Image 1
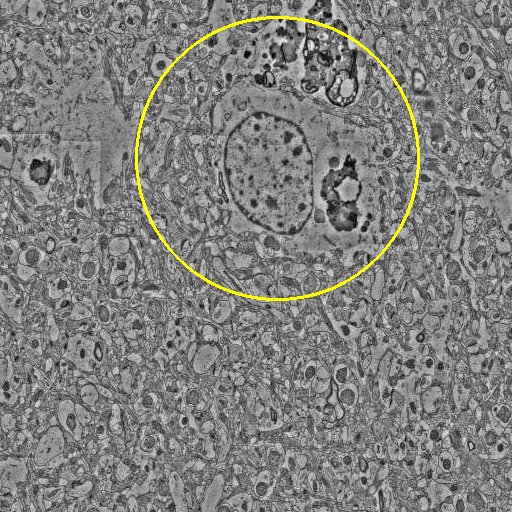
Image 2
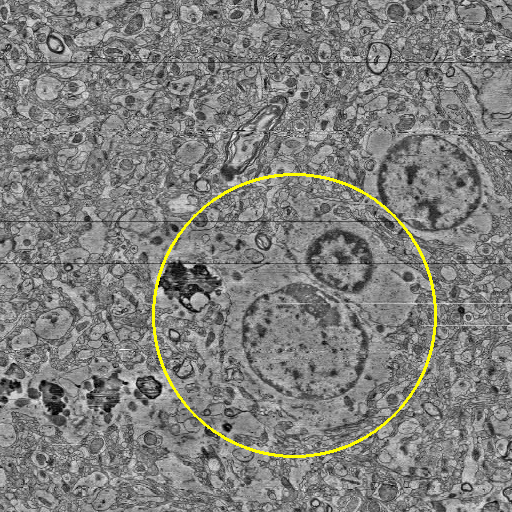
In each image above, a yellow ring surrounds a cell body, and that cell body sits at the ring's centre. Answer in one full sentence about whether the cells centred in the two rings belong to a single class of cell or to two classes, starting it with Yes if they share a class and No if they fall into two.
Yes, the cells centred in the two yellow rings belong to a single class of cell.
